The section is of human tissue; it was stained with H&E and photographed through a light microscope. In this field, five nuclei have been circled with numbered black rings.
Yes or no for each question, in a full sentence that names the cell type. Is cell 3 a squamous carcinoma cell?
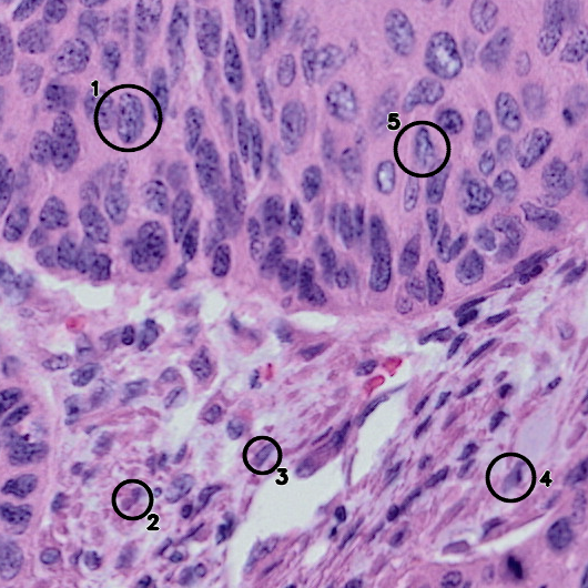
No, instead of a squamous carcinoma cell, the cell with number 3 is a fibroblast.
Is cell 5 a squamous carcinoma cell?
Yes, the cell at marker 5 is a squamous carcinoma cell.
